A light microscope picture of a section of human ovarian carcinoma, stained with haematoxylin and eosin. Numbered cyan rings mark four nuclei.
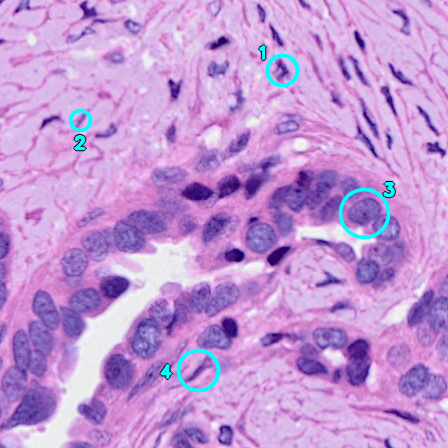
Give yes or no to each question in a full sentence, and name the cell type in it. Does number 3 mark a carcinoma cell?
Yes, what number 3 marks is a carcinoma cell.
